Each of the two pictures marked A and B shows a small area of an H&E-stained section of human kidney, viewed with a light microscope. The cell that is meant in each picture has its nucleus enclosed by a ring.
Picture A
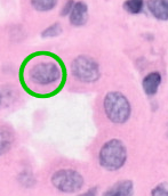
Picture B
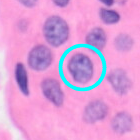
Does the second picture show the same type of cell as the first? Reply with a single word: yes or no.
yes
